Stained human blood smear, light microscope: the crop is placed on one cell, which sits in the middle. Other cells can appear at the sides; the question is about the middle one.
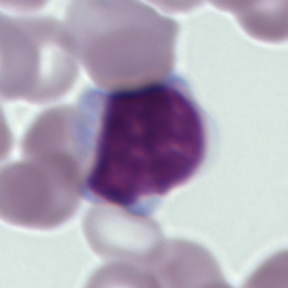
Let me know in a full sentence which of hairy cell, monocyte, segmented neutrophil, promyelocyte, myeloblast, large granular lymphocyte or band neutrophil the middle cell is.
The central cell, amid any neighbouring cells, is a large granular lymphocyte.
